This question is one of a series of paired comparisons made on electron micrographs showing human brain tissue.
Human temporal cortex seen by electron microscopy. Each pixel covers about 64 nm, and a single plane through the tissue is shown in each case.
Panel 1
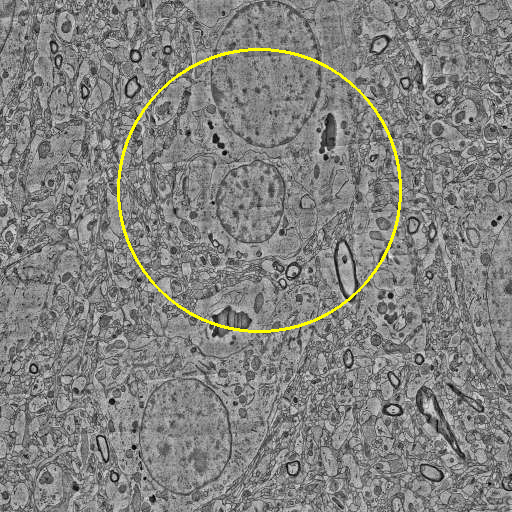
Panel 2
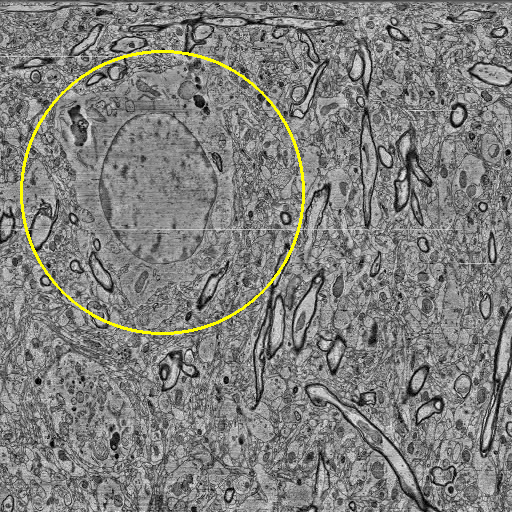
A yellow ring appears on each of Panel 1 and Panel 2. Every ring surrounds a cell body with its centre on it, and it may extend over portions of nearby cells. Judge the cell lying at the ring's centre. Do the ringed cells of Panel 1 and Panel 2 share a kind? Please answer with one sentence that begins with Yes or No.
Yes, the ring-centre cell in Panel 1 and the one in Panel 2 are of one kind.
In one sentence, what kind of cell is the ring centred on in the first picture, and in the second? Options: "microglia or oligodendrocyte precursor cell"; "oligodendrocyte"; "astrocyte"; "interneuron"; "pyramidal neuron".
Each of the two rings surrounds an astrocyte.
